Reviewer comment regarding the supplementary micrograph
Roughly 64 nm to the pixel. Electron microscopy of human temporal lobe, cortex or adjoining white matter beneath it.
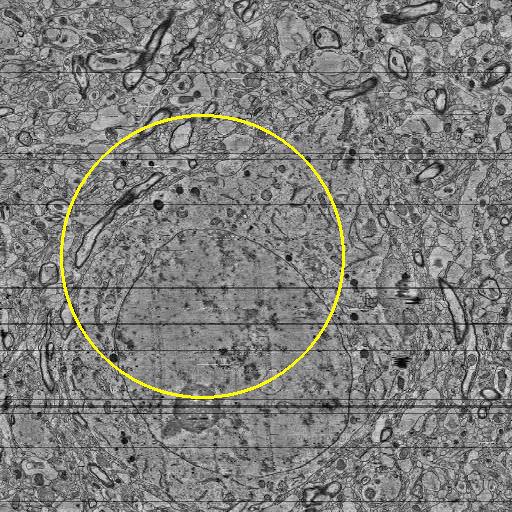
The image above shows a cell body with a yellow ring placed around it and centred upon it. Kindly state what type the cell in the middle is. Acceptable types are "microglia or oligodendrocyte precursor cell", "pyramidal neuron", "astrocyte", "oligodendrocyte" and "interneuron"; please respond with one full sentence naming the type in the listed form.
In the image above, the cell on which the yellow ring is centred is a pyramidal neuron.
